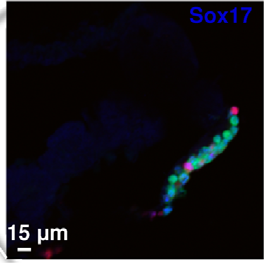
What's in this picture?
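A narrow band of rounded labelled cells runs obliquely along a thin tissue layer. The surrounding tissue is faint.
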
